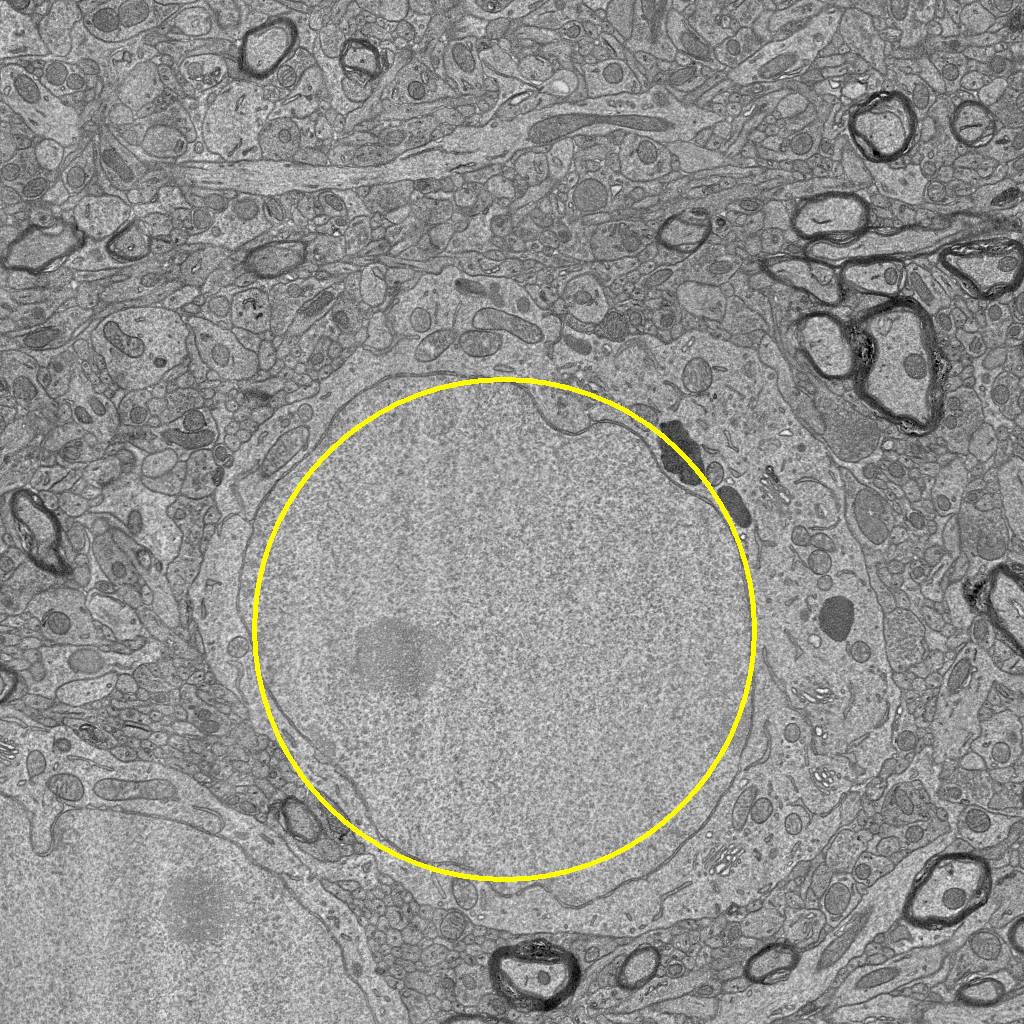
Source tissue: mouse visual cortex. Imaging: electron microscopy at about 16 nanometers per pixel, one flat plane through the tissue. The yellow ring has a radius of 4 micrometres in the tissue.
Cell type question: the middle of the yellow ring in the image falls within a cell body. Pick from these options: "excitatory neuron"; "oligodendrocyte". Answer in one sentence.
The cell body at the center of the ring belongs to an excitatory neuron.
